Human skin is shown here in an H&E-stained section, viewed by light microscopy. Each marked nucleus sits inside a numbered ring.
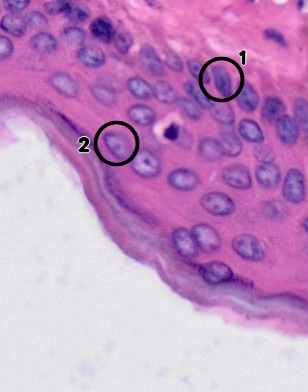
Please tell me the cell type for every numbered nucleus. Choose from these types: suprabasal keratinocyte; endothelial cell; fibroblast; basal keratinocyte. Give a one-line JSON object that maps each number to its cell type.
{"1": "basal keratinocyte", "2": "suprabasal keratinocyte"}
